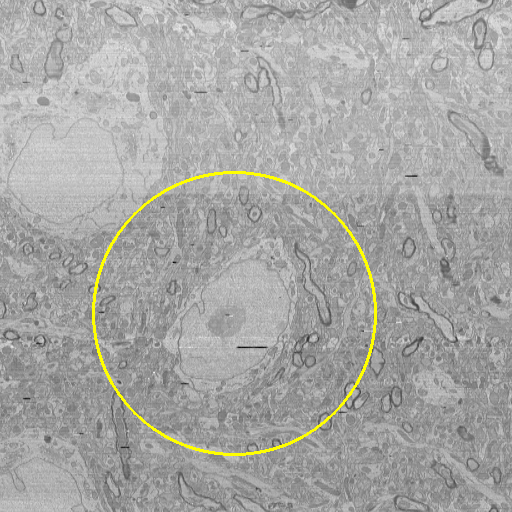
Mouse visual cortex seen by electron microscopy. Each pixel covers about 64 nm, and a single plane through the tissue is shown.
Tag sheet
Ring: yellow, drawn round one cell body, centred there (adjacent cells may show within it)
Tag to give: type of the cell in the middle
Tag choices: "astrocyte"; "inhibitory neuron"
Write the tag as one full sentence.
I tag the cell centred in the yellow ring as an inhibitory neuron in this picture.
